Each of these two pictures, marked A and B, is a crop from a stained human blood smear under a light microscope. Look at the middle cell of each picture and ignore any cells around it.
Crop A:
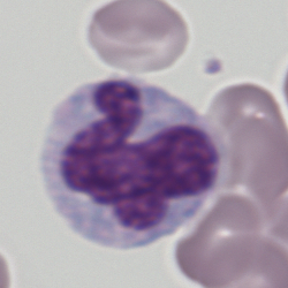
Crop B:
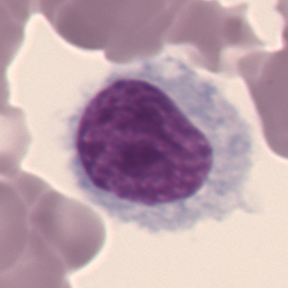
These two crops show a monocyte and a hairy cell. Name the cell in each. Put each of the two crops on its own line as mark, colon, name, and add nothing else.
A: monocyte
B: hairy cell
